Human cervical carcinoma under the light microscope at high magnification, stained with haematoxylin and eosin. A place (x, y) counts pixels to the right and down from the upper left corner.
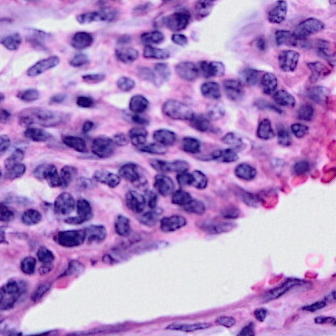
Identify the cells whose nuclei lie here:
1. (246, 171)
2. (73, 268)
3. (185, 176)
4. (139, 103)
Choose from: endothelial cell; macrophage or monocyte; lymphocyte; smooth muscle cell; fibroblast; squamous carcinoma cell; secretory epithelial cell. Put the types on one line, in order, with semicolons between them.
lymphocyte; endothelial cell; lymphocyte; lymphocyte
